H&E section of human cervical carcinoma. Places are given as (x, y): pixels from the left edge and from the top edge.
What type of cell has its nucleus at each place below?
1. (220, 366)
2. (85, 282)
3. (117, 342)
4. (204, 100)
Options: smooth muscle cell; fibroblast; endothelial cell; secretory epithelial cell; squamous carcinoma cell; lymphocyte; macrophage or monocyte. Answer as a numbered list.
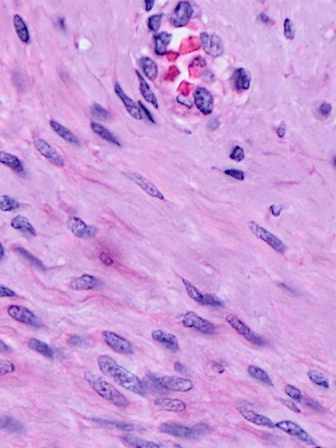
1. smooth muscle cell
2. smooth muscle cell
3. smooth muscle cell
4. endothelial cell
